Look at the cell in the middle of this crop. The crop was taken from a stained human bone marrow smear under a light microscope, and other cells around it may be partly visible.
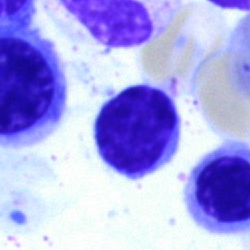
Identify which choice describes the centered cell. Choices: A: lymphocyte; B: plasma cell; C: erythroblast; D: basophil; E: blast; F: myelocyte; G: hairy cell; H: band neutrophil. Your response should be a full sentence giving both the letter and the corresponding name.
Given that the cell in the middle is a lymphocyte, option A is correct.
